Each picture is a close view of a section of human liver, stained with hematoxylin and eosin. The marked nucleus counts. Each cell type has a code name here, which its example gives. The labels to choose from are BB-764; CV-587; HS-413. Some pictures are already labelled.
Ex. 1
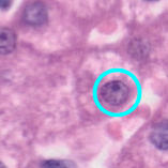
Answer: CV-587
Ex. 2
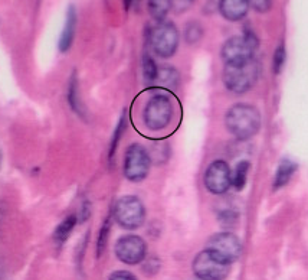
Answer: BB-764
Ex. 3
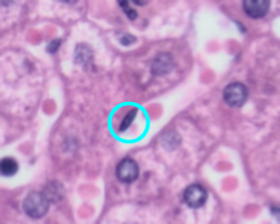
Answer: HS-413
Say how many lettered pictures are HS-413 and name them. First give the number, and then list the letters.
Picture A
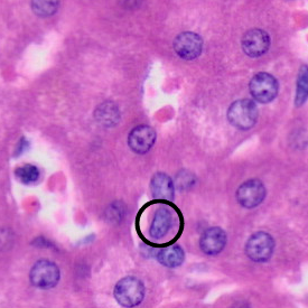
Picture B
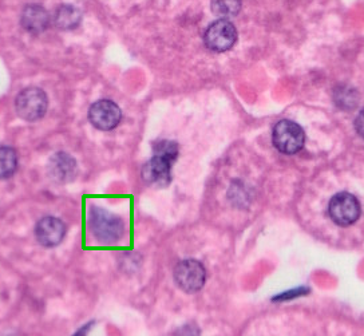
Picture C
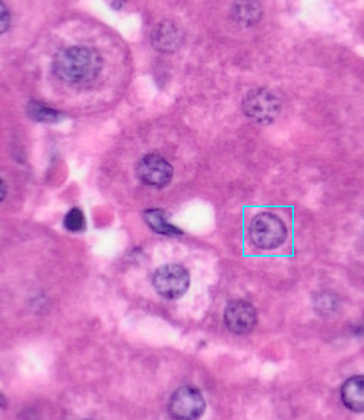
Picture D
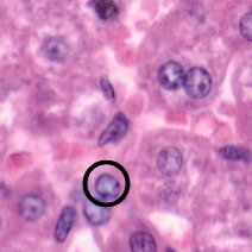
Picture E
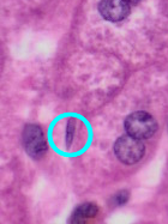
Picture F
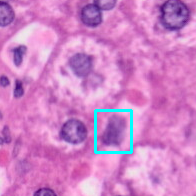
Count: 3 (B, E, F)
